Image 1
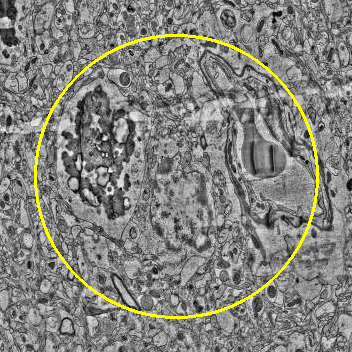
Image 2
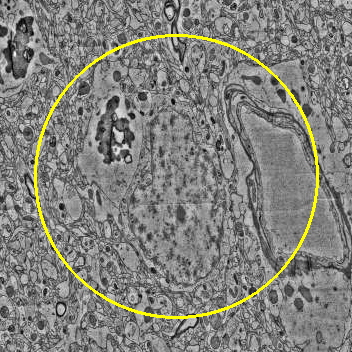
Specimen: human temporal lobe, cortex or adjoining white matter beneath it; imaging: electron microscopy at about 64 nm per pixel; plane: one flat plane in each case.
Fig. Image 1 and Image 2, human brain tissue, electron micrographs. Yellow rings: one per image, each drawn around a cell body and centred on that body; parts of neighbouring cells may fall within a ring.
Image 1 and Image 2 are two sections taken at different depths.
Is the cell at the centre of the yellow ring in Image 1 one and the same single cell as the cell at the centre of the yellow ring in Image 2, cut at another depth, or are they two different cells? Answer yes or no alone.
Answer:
yes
